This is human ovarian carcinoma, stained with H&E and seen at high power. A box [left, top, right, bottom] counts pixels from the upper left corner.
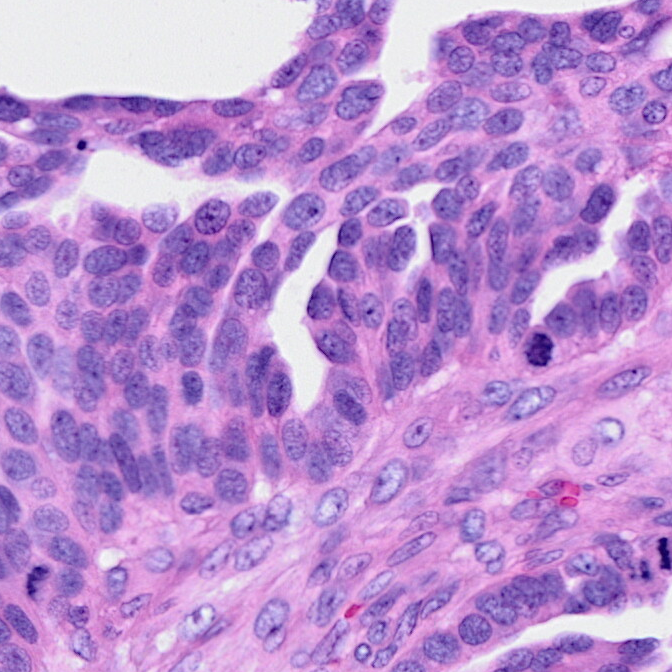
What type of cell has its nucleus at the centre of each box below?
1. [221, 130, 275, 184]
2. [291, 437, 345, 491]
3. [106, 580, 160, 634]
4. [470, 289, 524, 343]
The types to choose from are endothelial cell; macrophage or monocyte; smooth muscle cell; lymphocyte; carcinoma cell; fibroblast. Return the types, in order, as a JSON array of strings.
["carcinoma cell", "carcinoma cell", "fibroblast", "carcinoma cell"]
